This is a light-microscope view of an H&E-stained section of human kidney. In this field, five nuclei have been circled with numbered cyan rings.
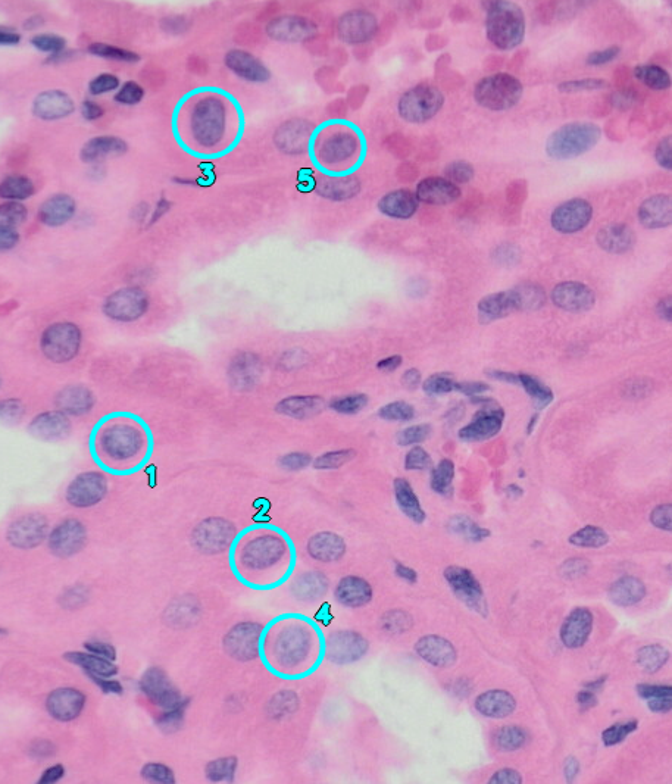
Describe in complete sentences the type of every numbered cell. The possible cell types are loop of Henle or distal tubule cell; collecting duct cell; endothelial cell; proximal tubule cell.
Cells 1, 2 and 4 are loop of Henle or distal tubule cells. Cells 3 and 5 are proximal tubule cells.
